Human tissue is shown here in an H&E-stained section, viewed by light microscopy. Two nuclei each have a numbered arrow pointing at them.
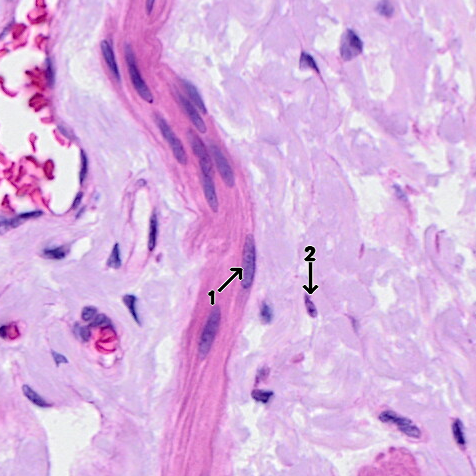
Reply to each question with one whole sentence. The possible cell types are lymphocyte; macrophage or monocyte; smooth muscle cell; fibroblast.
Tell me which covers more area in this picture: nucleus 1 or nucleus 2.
Nucleus 1 is larger, with an area about 4 times that of nucleus 2.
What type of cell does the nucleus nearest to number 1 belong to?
Closest to number 1 lies the nucleus of a macrophage or monocyte.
